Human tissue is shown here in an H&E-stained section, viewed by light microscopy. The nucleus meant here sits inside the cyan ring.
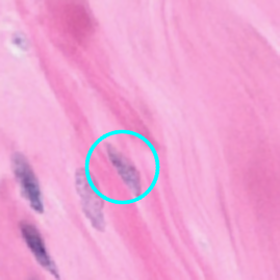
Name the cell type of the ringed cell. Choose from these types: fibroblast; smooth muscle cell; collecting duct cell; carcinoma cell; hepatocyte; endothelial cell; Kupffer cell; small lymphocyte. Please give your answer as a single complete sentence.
Assigned to a cell type, the ringed cell is a fibroblast.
